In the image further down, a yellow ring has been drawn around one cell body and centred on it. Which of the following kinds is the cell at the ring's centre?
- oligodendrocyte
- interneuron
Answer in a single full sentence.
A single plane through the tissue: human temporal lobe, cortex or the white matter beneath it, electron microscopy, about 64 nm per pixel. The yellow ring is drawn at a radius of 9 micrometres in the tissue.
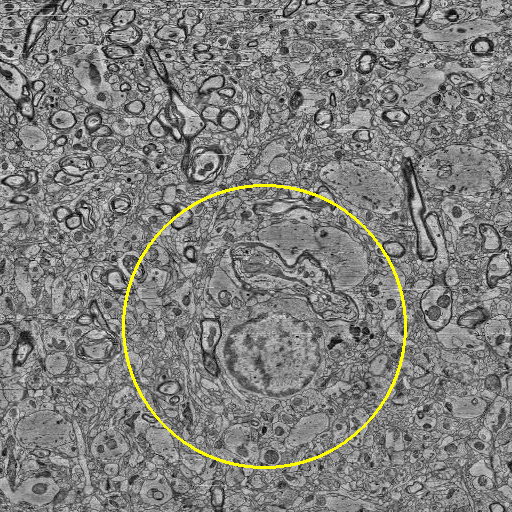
In the picture, the cell sitting at the centre of the yellow ring is an oligodendrocyte.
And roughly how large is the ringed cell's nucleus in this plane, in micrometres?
The nucleus comes to roughly 6 micrometres across in this plane.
